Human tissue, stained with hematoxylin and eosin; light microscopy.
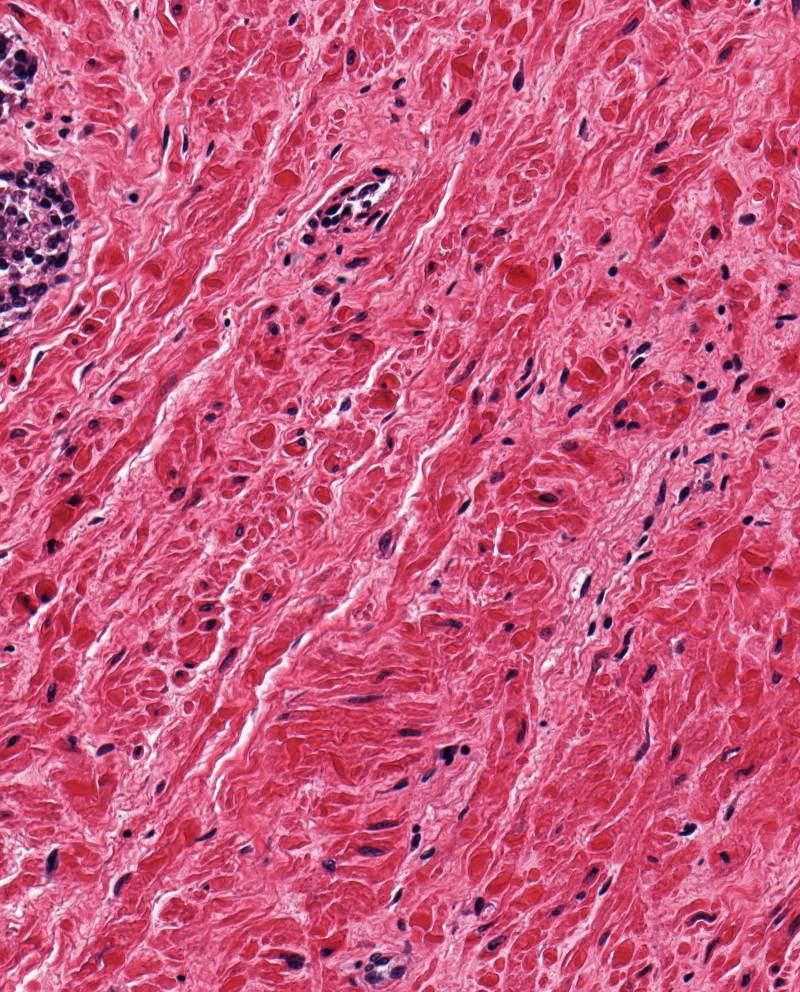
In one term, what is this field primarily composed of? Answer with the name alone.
fibromuscular stroma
